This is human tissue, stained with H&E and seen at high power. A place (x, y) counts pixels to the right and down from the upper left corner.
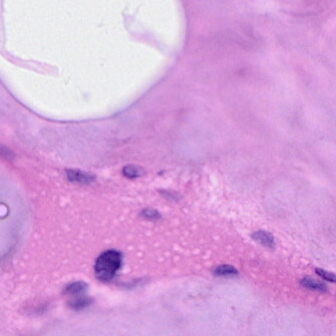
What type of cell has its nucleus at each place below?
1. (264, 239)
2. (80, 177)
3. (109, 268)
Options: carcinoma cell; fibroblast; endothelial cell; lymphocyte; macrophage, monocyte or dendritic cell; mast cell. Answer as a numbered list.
1. fibroblast
2. fibroblast
3. carcinoma cell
